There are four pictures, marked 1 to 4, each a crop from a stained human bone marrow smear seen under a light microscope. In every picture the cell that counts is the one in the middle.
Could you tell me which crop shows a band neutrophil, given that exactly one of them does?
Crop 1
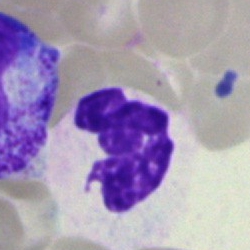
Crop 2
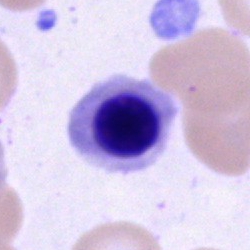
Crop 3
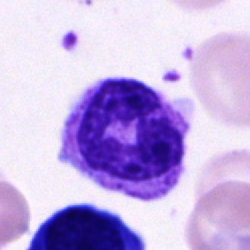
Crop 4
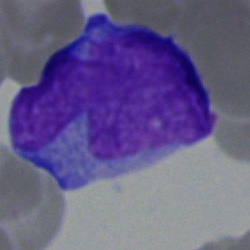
3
